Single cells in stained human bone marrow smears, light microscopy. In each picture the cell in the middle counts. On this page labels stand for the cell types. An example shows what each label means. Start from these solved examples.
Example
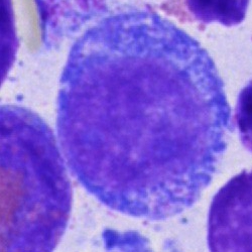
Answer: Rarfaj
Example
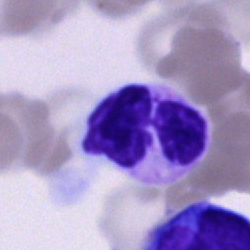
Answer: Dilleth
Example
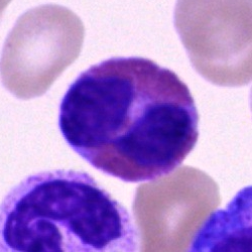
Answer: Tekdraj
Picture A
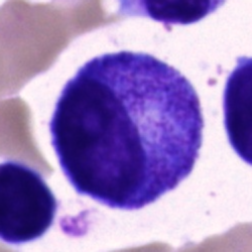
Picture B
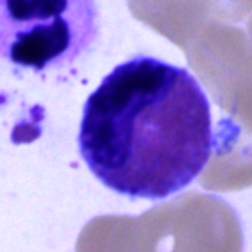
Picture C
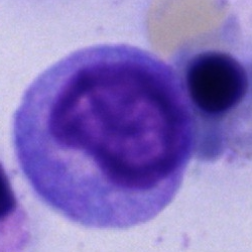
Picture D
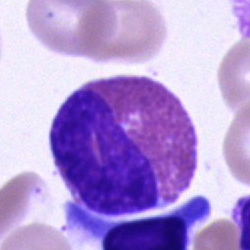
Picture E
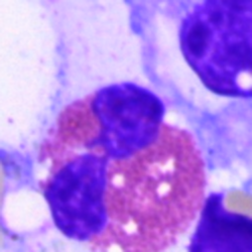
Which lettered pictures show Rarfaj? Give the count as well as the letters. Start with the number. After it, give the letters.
2: A, C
